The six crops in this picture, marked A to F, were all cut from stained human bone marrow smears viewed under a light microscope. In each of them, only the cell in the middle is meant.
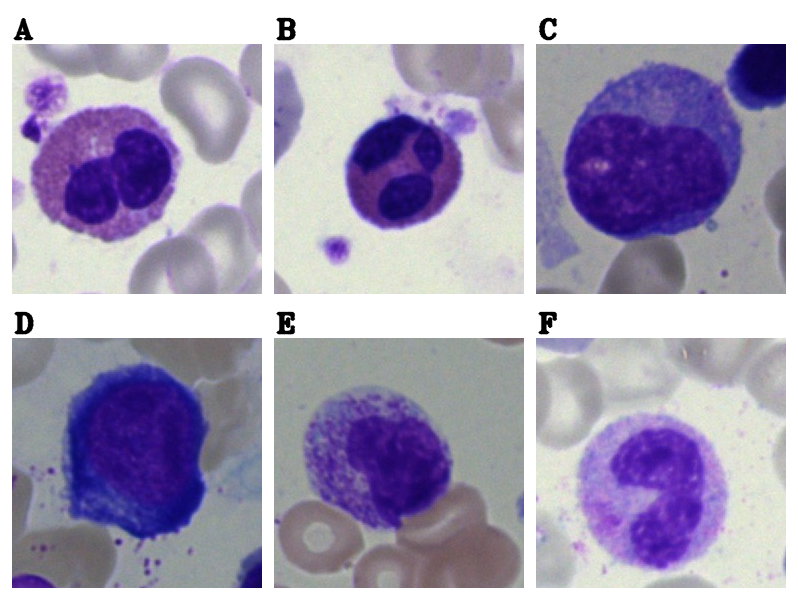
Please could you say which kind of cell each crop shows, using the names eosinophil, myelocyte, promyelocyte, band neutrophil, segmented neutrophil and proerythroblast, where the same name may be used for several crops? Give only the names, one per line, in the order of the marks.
eosinophil
eosinophil
promyelocyte
proerythroblast
myelocyte
band neutrophil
